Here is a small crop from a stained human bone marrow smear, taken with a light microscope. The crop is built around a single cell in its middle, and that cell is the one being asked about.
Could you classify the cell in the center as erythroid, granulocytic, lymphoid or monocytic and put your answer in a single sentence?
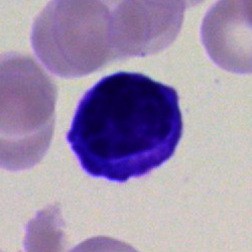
With respect to lineage, the central cell is to be called lymphoid.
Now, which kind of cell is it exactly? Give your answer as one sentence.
The centrally placed cell is classified as a lymphocyte.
